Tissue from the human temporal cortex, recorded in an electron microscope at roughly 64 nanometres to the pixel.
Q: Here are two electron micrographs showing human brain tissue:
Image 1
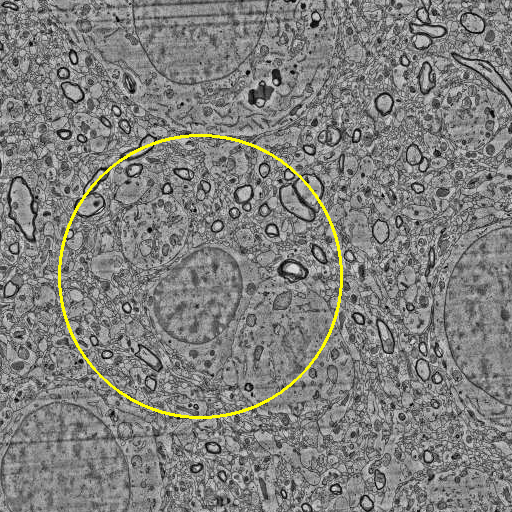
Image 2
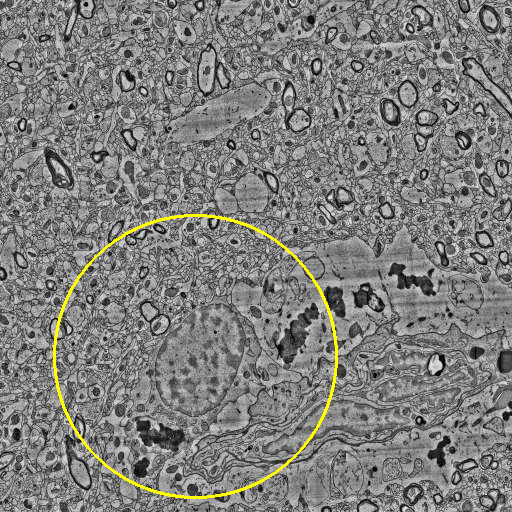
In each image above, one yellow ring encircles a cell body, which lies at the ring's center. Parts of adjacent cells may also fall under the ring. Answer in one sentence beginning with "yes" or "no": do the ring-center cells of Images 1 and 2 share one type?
Yes, in Images 1 and 2, the ring-center cells are both of one type.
